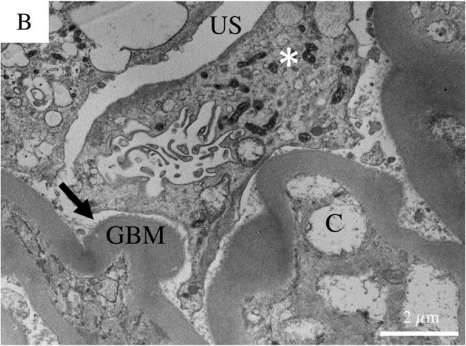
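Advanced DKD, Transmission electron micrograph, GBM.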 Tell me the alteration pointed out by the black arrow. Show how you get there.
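At the arrow the basement membrane surface lacks the normal row of foot processes. The thick grey membrane is bare or separated from overlying cytoplasm.
Answer: foot processes detachment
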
